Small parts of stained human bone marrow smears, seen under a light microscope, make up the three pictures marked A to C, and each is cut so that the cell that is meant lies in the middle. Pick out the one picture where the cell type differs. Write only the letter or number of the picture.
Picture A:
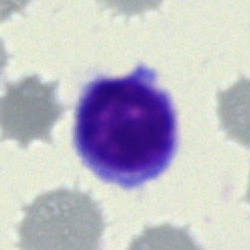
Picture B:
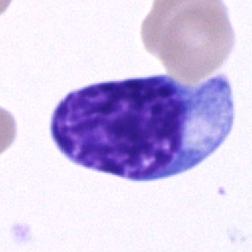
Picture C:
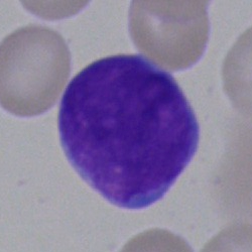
A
